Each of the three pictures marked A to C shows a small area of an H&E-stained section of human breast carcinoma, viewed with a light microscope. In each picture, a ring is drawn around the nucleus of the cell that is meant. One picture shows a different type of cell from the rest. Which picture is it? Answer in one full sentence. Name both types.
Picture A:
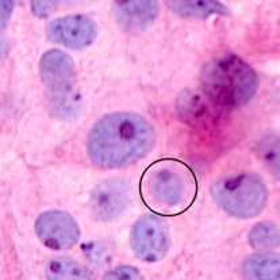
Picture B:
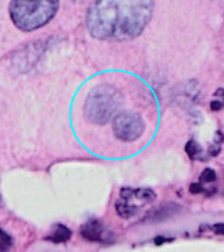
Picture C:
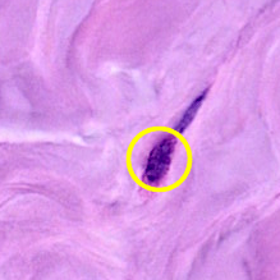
All pictures except C show carcinoma cells; picture C shows a mast cell.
